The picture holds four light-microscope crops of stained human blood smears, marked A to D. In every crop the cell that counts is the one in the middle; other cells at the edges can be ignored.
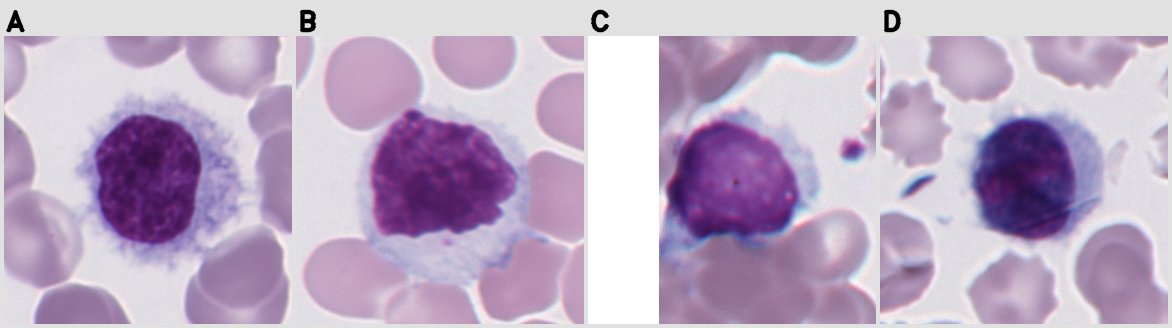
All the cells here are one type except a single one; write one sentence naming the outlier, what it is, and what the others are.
Crop C contains a typical lymphocyte, setting it apart from the other crops, which all contain hairy cells.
